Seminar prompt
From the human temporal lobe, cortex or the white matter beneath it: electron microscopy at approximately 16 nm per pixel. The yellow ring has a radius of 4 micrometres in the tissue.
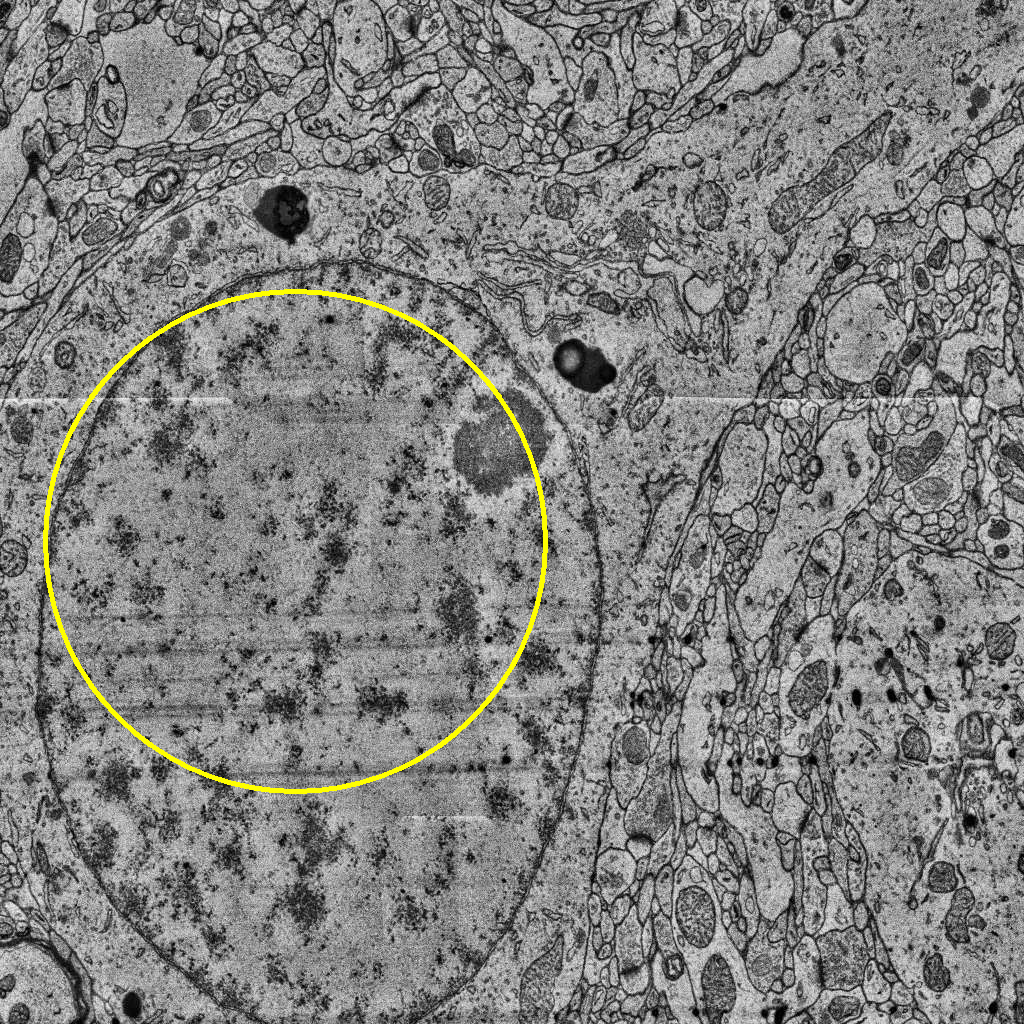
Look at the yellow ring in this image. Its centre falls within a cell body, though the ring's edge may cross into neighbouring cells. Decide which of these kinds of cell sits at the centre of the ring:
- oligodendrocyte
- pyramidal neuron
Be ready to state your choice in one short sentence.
The kind of cell at the ring's centre is a pyramidal neuron.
